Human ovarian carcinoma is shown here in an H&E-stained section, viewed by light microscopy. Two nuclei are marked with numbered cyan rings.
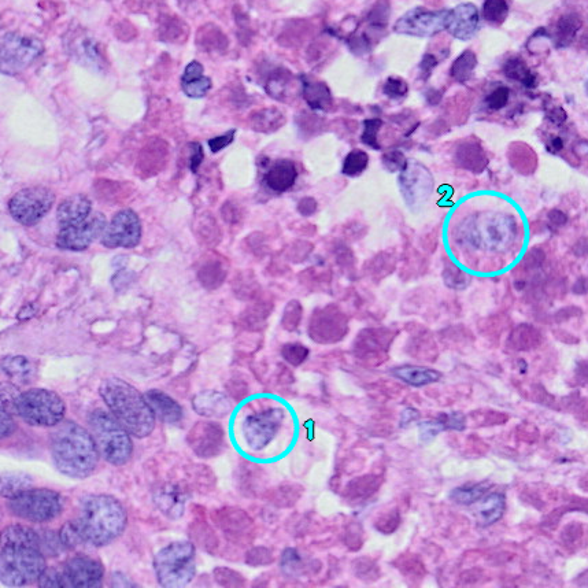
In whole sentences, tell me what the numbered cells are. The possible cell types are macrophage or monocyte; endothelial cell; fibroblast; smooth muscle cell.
Cell 1 is a macrophage or monocyte. Cell 2 is a fibroblast.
